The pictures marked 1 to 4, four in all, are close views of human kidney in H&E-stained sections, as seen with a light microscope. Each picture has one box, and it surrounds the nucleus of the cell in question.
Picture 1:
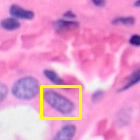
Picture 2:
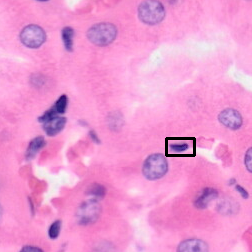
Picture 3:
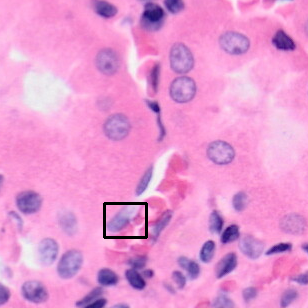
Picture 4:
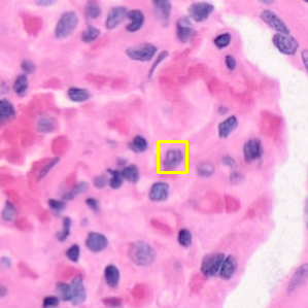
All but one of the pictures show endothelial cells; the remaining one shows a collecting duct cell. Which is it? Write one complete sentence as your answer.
The collecting duct cell is the one in picture 1.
